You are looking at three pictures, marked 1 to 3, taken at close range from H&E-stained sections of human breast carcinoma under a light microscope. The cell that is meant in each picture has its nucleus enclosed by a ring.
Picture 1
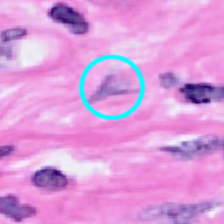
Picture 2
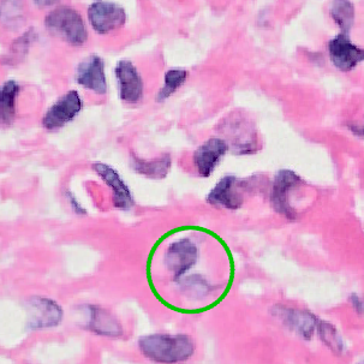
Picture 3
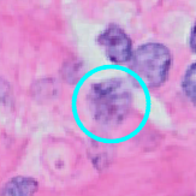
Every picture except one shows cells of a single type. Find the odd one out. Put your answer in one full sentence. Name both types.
The others show fibroblasts, but picture 3 shows a carcinoma cell.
